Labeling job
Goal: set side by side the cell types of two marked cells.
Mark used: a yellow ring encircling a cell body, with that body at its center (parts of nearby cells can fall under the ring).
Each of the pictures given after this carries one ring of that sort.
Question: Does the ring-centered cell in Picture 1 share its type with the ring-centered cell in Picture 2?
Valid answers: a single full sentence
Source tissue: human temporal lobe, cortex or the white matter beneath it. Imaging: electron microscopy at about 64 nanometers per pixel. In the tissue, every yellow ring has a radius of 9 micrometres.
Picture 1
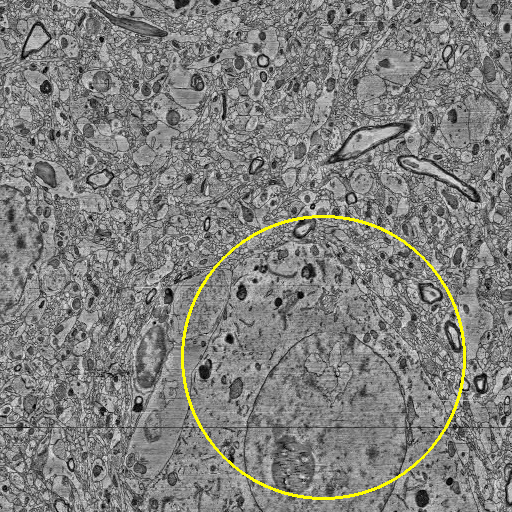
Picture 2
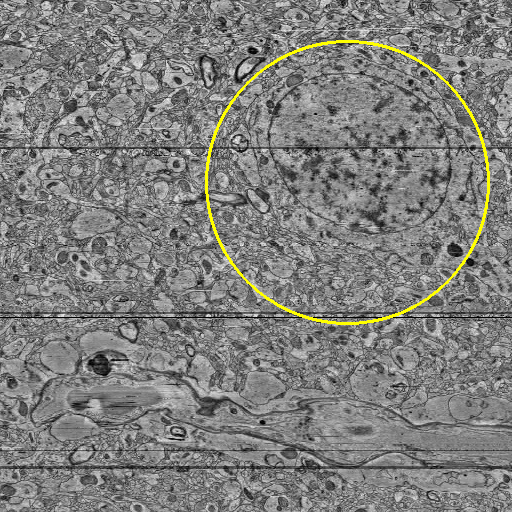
Yes, in Pictures 1 and 2 the cells at the ring centers share one type.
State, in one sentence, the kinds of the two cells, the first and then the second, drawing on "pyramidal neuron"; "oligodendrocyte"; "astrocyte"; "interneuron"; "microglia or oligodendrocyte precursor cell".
The ring centre holds a pyramidal neuron in each of the two pictures.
